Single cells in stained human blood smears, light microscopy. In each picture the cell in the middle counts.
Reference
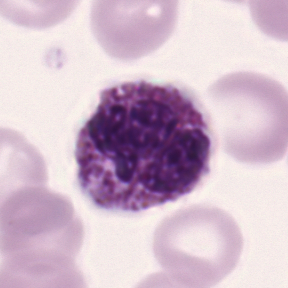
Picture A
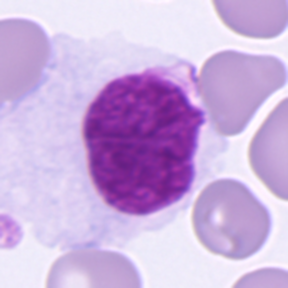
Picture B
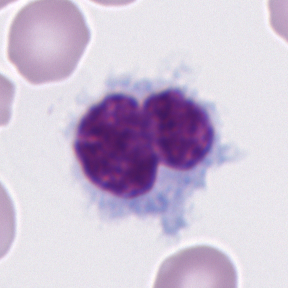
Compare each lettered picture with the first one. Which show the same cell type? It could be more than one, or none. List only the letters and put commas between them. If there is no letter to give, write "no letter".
no letter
